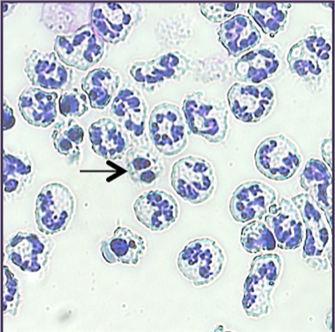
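Many closely packed round cells with pale cytoplasm and purple nuclei bent into lobed, horseshoe or ring-like shapes fill the field. These are neutrophils, most with their segmented nuclei intact. A few cells instead contain small, round, dense dark nuclear bodies. These compact, condensed nuclei point to neutrophils undergoing apoptosis.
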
